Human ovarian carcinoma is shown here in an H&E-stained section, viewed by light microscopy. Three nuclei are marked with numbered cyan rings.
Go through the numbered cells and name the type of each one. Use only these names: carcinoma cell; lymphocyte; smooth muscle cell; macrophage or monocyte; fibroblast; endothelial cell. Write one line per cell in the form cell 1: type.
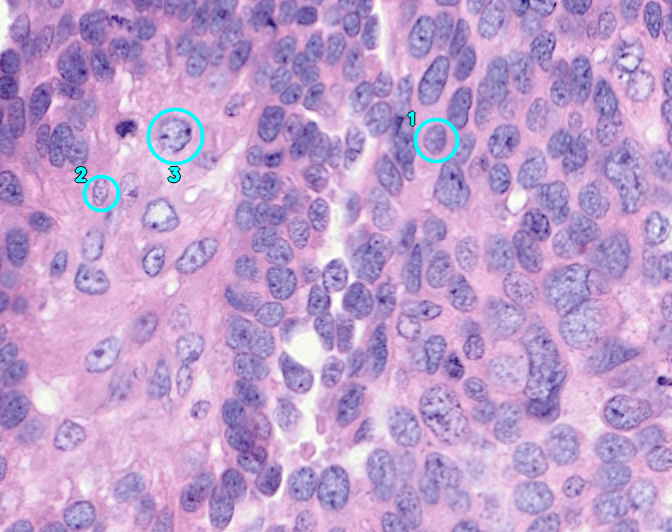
cell 1: carcinoma cell
cell 2: fibroblast
cell 3: fibroblast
